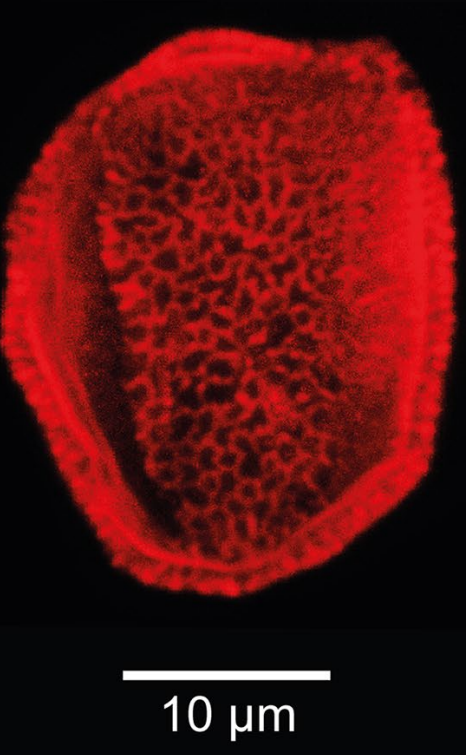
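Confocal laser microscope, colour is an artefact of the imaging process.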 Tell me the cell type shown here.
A: Pollen grains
